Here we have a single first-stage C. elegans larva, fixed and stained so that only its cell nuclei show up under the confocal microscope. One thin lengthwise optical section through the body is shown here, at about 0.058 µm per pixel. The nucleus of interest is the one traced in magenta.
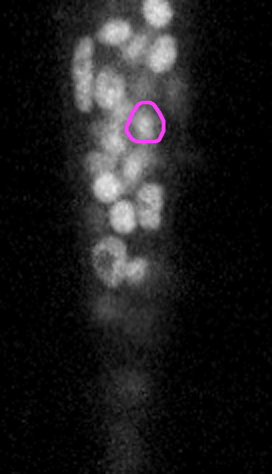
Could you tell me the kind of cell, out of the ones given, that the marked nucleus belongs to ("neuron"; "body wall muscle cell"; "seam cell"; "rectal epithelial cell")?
neuron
